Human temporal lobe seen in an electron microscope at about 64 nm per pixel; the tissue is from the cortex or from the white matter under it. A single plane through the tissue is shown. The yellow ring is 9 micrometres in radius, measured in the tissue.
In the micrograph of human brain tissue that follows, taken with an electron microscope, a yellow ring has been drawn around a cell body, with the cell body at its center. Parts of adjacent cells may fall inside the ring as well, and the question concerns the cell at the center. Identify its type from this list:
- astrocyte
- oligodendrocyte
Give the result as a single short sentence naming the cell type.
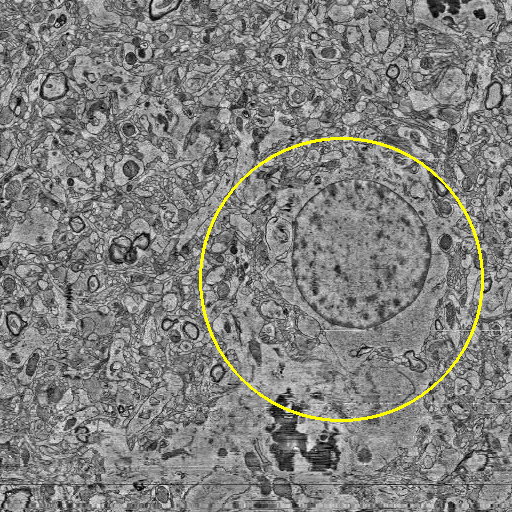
The ring is centered on an astrocyte.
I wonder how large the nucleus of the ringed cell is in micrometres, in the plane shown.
The nucleus is about 9 micrometres across in this plane.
